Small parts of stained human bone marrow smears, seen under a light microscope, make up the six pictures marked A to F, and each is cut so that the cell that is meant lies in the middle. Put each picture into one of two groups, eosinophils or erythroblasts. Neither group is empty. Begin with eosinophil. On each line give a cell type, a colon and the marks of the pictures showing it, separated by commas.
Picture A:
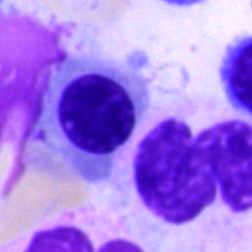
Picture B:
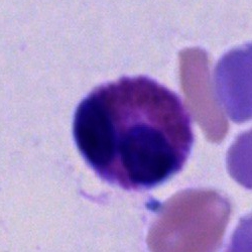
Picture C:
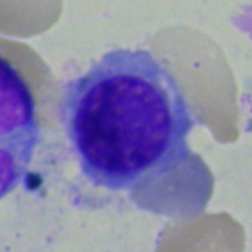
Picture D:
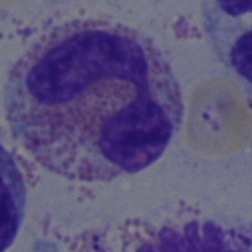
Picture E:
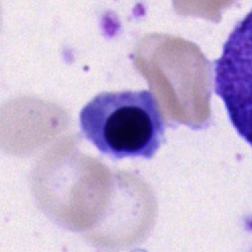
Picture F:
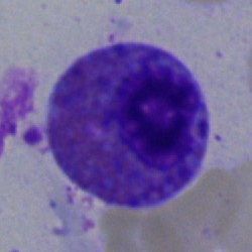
eosinophil: B, D, F
erythroblast: A, C, E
